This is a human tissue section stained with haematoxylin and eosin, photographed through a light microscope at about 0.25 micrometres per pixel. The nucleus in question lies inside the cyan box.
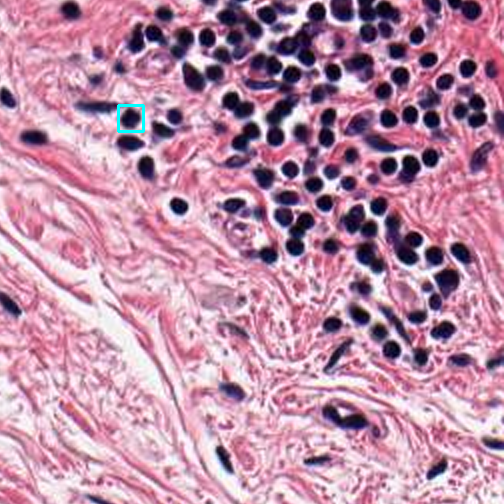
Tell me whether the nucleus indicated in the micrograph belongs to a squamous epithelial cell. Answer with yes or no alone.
no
